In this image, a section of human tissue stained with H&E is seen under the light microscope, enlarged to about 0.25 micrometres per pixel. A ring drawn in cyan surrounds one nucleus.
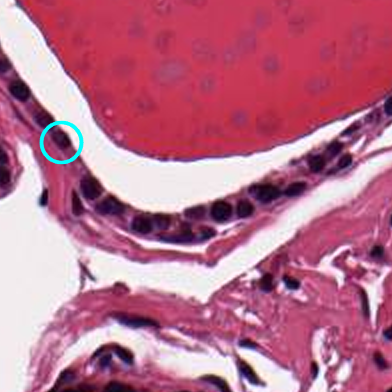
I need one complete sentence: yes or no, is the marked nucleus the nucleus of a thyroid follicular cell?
Yes, the marked nucleus belongs to a thyroid follicular cell.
